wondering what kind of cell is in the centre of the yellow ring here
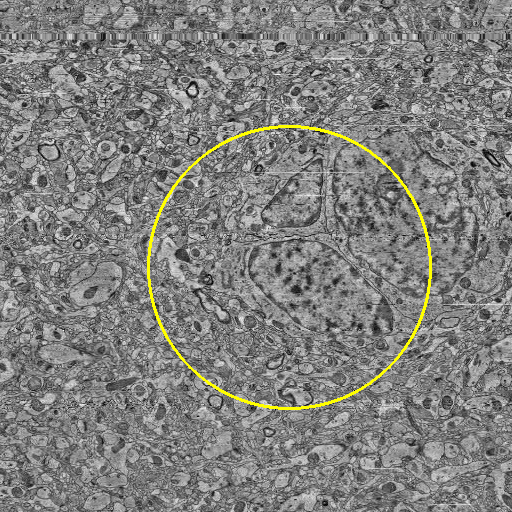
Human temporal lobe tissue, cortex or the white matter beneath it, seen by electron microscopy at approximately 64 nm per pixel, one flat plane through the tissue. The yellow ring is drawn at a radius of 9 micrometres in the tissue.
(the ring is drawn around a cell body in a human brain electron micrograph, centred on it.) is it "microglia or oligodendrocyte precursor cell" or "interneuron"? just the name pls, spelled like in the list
microglia or oligodendrocyte precursor cell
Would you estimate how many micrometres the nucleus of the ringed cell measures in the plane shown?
The ringed cell's nucleus is about 9 micrometres long and 5 micrometres wide in this plane.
